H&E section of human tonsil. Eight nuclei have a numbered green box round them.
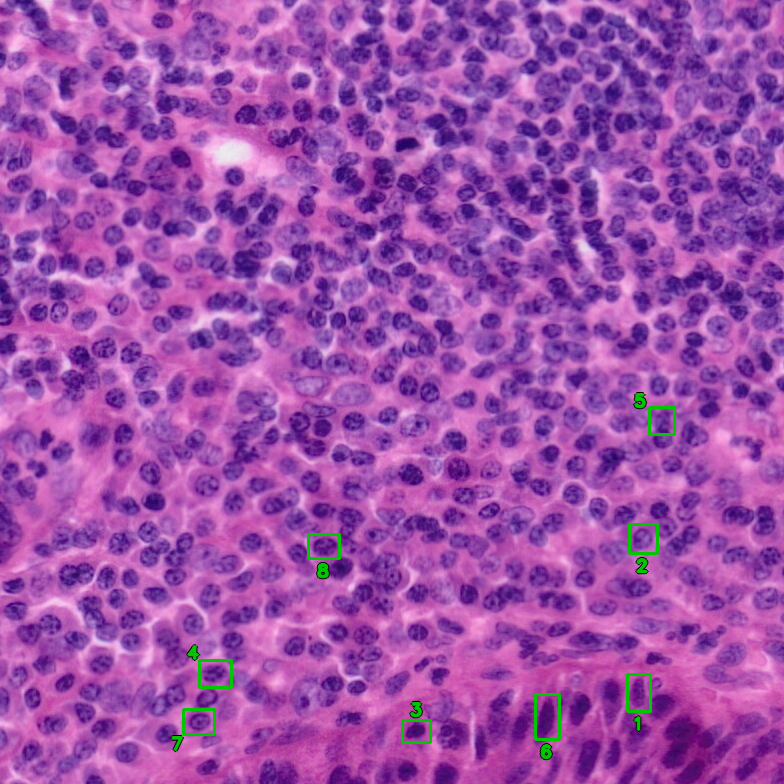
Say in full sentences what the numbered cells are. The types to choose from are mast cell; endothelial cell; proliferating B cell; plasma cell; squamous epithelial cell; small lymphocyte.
Cell 1 is a squamous epithelial cell, cell 2 is a plasma cell, cell 3 is a squamous epithelial cell, cell 4 is a plasma cell, cell 5 is a plasma cell, cell 6 is a squamous epithelial cell, cell 7 is a plasma cell and cell 8 is a plasma cell.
